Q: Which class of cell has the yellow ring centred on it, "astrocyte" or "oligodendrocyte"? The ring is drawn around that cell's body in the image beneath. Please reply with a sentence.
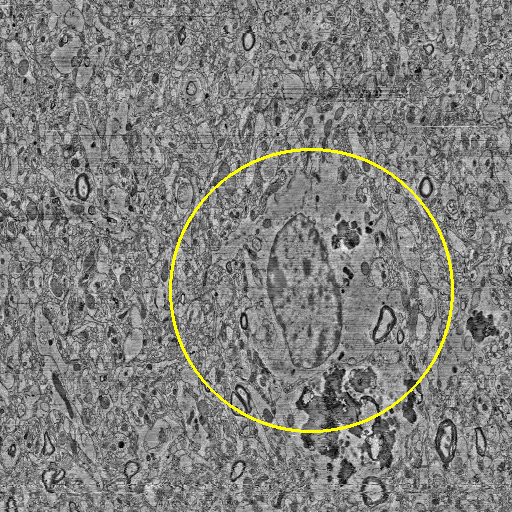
It is centred on an astrocyte.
